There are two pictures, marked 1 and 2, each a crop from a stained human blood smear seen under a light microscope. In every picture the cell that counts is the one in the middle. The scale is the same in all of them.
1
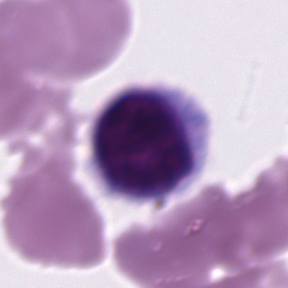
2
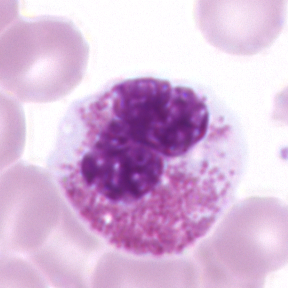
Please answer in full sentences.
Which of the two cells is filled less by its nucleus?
Of the two, the nucleus in crop 2 leaves more room for cytoplasm.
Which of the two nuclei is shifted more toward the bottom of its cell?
In crop 1 the nucleus is shifted more toward the bottom.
